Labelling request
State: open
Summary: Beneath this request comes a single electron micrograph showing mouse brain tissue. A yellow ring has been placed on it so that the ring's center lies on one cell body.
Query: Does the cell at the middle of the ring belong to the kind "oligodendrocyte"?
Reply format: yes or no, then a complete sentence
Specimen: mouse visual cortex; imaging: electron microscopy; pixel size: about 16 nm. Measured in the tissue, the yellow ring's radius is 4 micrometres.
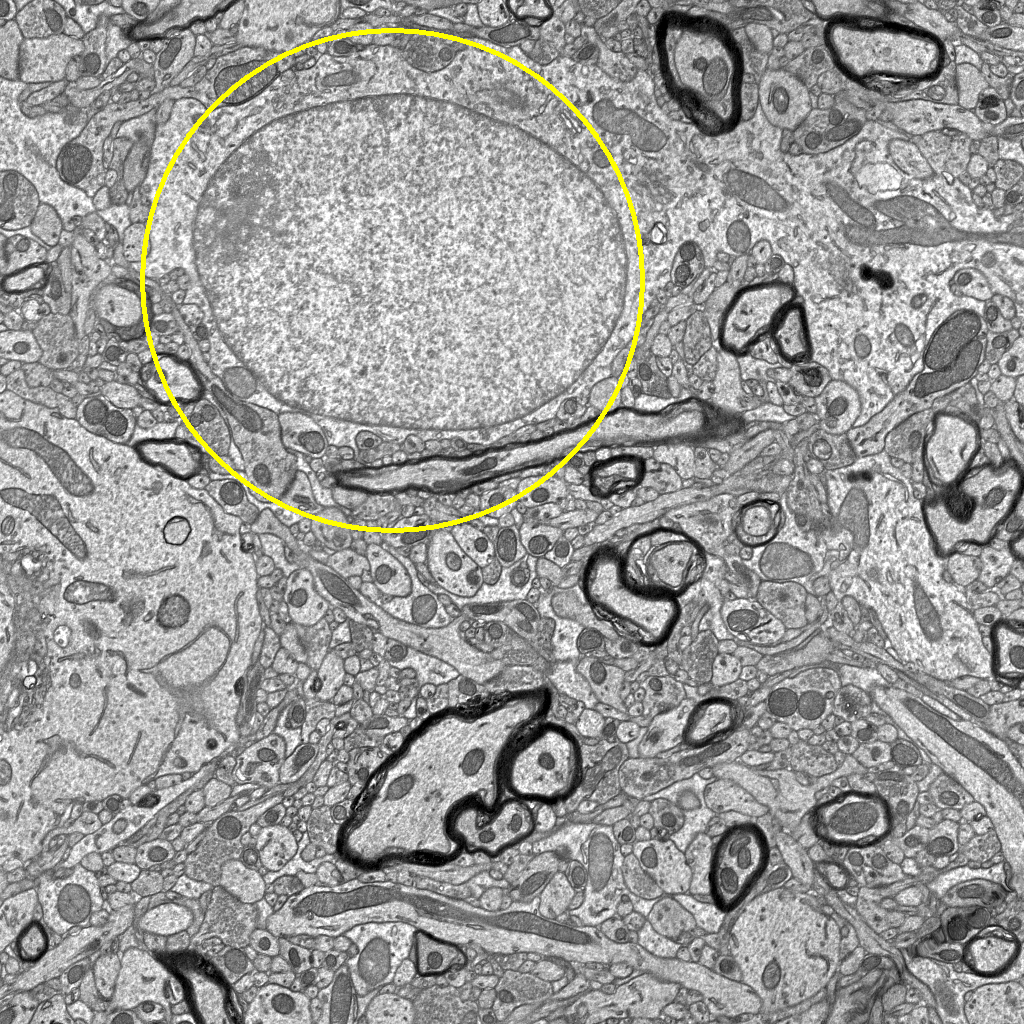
No, the cell sitting at the center of the ring in this picture is of a different kind.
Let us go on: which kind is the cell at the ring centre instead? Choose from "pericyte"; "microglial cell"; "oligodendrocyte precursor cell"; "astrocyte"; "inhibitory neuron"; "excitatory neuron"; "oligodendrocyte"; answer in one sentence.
So the cell at the centre is an astrocyte.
